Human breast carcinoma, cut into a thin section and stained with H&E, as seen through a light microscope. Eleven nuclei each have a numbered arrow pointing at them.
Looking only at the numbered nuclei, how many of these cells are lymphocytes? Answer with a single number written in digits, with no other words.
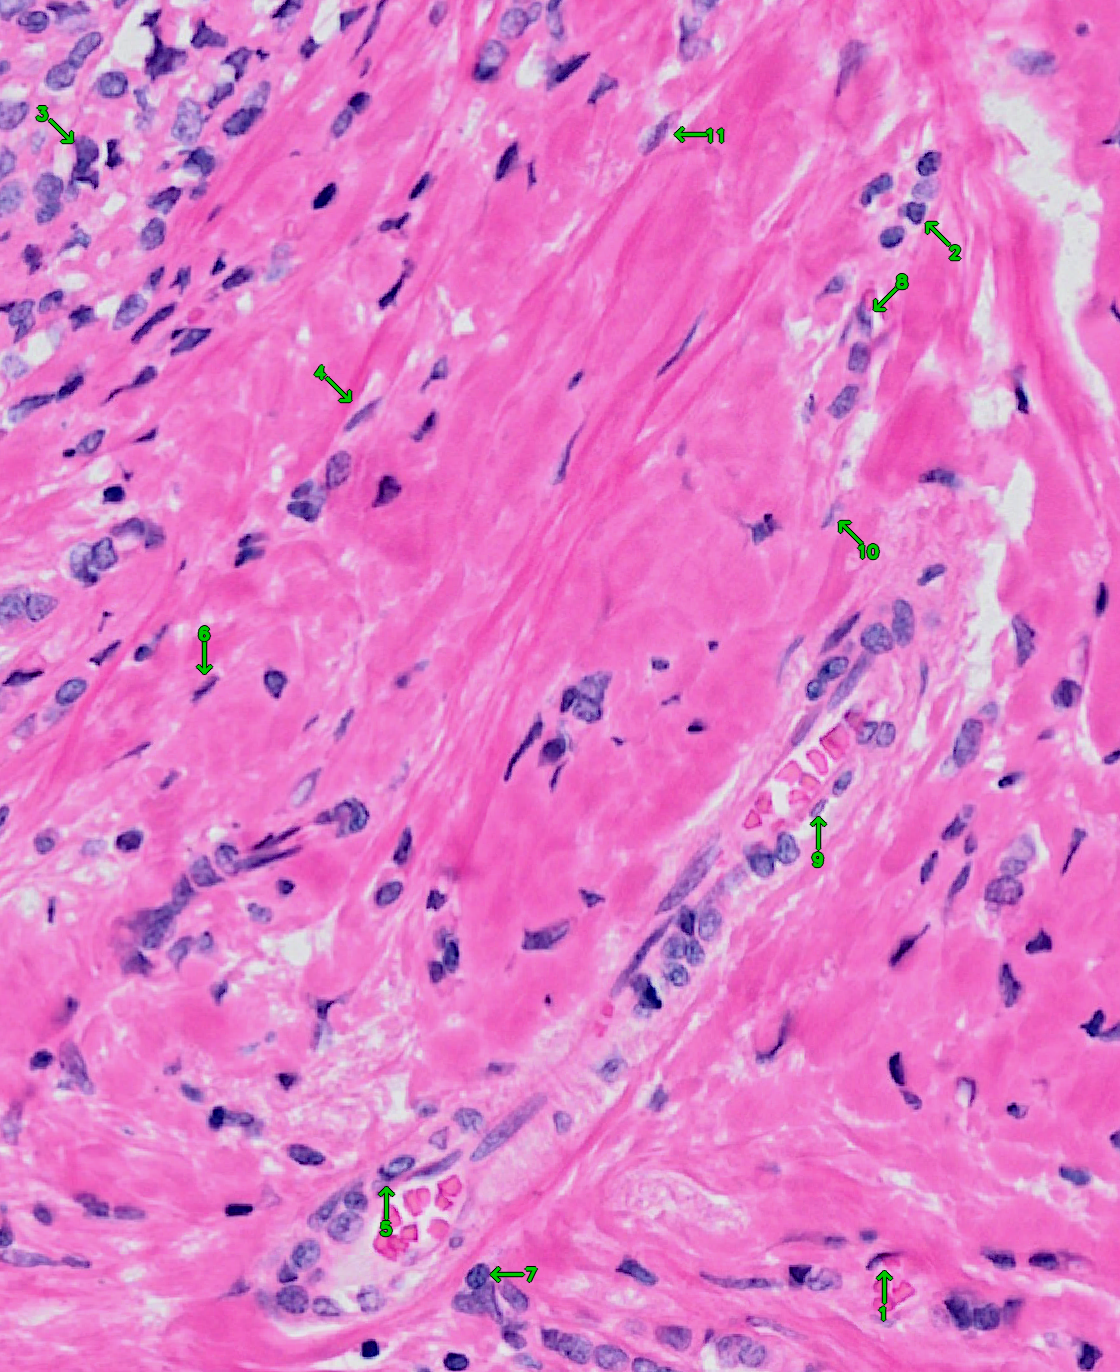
2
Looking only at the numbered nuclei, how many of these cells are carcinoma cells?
1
